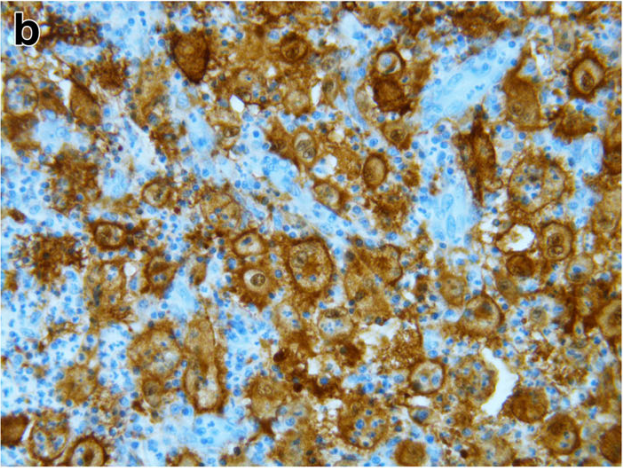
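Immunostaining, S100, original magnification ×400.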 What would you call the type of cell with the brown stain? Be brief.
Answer: histiocytes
